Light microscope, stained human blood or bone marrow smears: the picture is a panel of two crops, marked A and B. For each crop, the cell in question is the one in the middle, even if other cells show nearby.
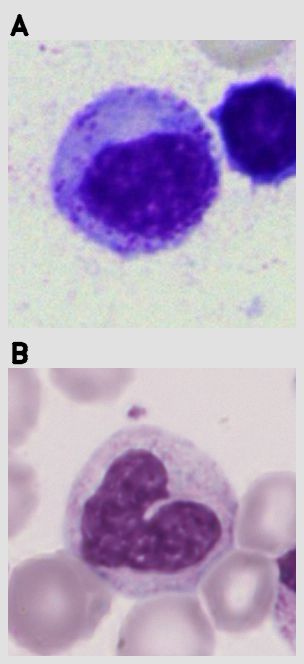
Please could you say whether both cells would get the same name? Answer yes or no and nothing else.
no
